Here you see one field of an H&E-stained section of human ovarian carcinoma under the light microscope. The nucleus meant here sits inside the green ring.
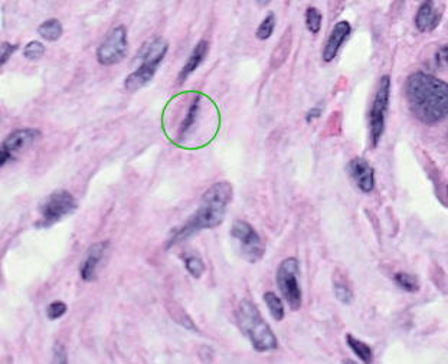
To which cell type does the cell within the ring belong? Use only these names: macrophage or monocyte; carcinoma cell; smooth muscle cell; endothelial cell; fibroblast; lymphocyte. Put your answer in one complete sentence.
As to its cell type, the cell within the ring is a fibroblast.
